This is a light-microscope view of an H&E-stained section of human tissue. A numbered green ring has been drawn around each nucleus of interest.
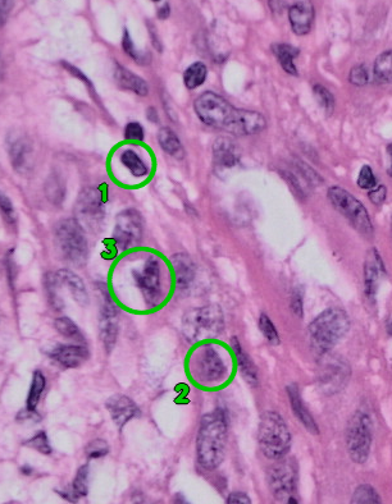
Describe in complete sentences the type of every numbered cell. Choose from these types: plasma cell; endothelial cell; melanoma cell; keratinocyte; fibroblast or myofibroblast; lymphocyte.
Cell 1 is a lymphocyte. Cells 2 and 3 are melanoma cells.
